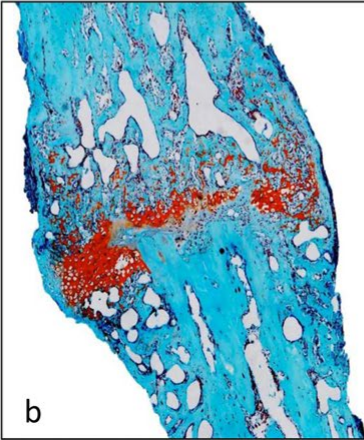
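This section shows a healing fracture callus in which new bone is forming around the broken ends of a long bone. The old cortical bone runs lengthwise through the centre as dense blue-green tissue. Across the middle of the callus, at the level of the fracture, runs a band of bright red-orange stained matrix, broadest at the lower left. At its edges this red-stained tissue merges into the blue-green trabecular meshwork.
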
